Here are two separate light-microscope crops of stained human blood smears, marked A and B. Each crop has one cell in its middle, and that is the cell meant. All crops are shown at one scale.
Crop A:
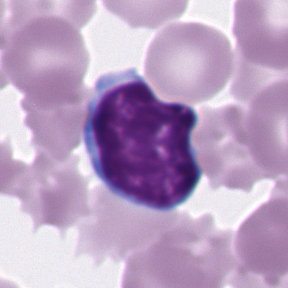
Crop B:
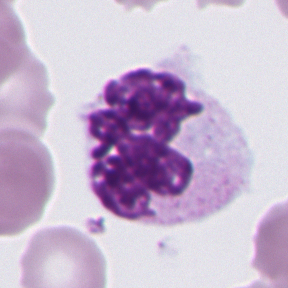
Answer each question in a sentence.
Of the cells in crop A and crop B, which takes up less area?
It is the cell in crop A; the cell in crop B has about 1.5 times its area.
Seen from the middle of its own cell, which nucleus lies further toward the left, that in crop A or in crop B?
Seen within its cell, the nucleus in crop B lies further toward the left.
